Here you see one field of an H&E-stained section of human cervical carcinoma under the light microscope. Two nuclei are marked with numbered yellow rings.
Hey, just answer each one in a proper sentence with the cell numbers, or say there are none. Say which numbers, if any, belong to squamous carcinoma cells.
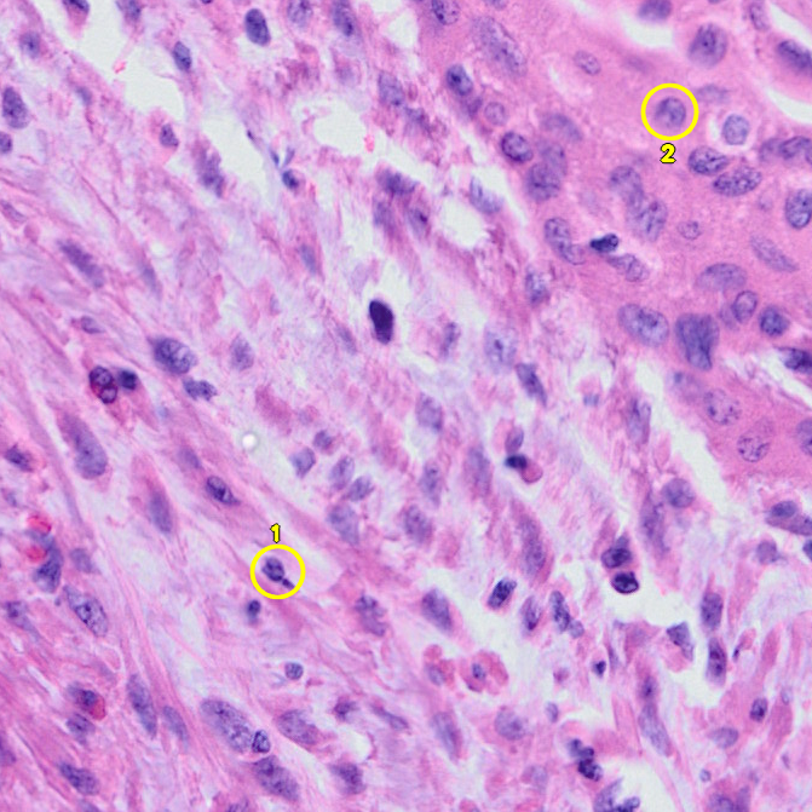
The nucleus numbered 2 is the only one that belongs to a squamous carcinoma cell.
